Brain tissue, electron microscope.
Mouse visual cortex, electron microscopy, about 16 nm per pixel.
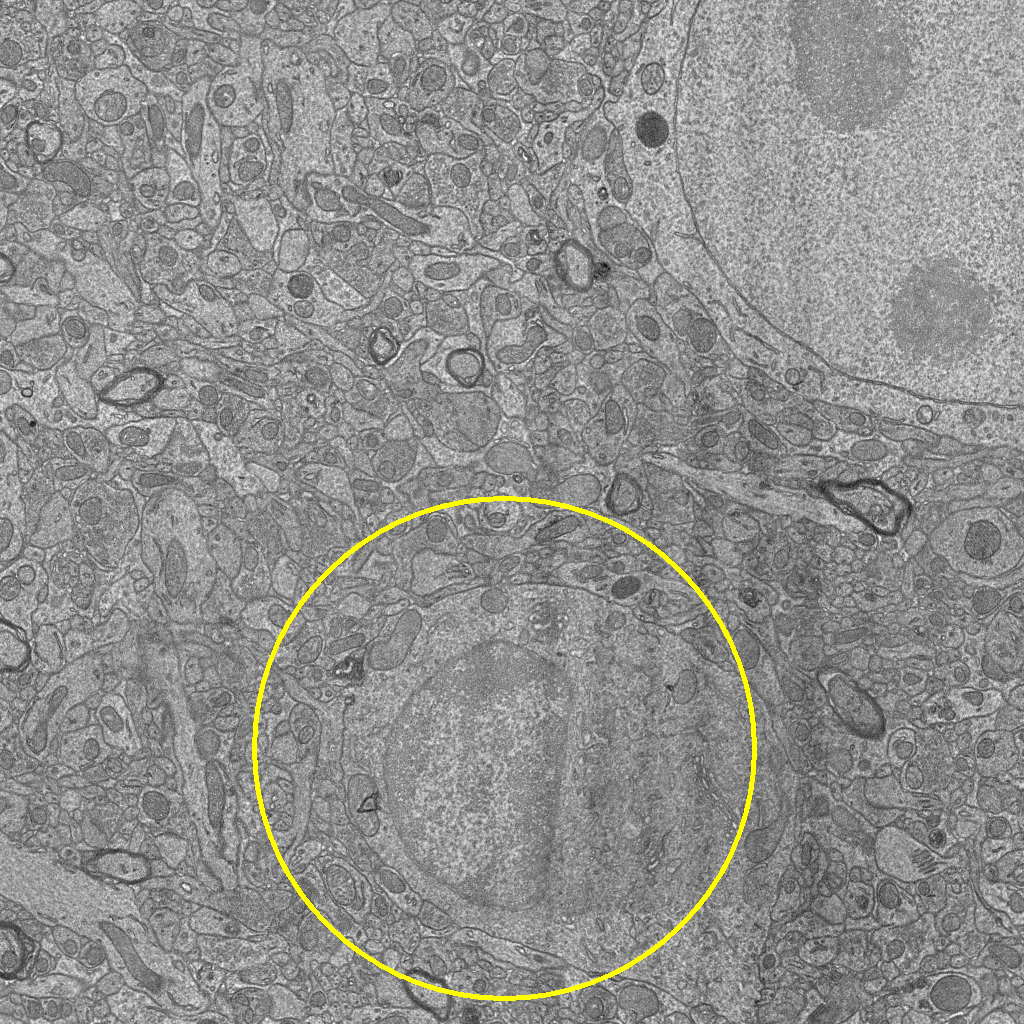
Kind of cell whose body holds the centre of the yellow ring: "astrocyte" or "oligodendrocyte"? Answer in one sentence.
The ring's centre falls on an oligodendrocyte.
